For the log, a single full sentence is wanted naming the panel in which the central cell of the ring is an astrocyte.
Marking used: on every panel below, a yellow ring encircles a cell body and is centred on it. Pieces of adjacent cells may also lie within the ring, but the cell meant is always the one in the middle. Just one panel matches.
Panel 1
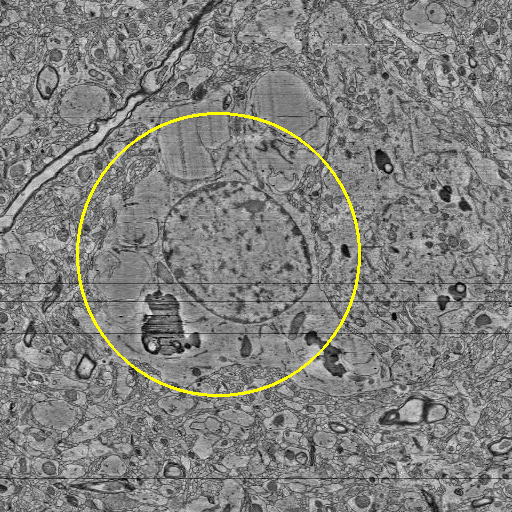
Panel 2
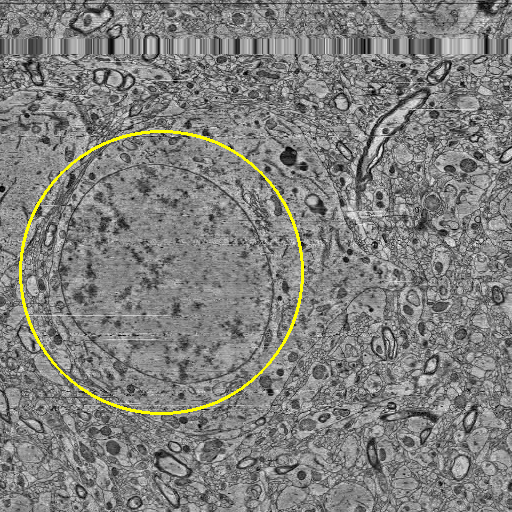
The cell in the middle of the ring in panel 1 is the one asked for.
